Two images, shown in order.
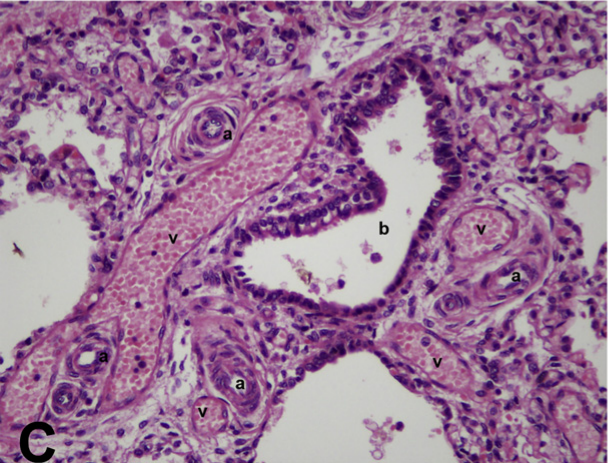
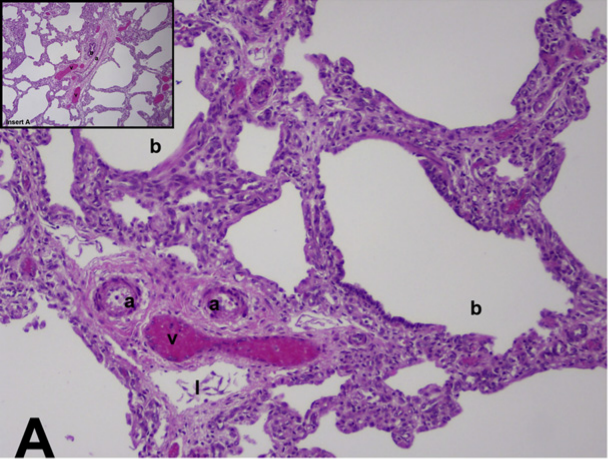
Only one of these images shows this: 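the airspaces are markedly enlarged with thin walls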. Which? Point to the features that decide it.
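First image: the airspaces are smaller, with cellular walls.
Conclusion: the second image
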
